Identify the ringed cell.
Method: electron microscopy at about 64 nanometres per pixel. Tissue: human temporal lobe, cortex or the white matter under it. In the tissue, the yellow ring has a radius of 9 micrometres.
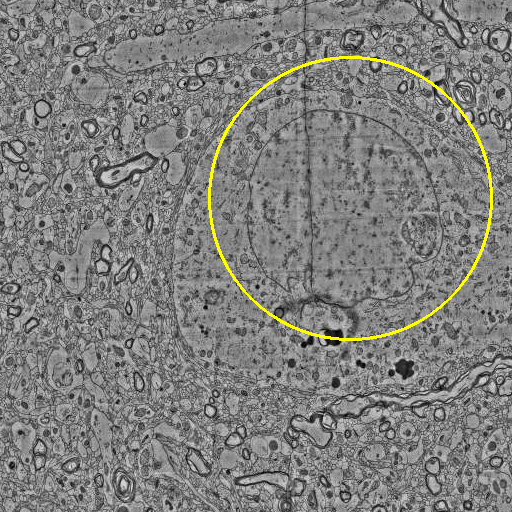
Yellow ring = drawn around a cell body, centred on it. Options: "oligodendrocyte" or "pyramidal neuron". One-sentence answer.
What the ring is centred on is a pyramidal neuron.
